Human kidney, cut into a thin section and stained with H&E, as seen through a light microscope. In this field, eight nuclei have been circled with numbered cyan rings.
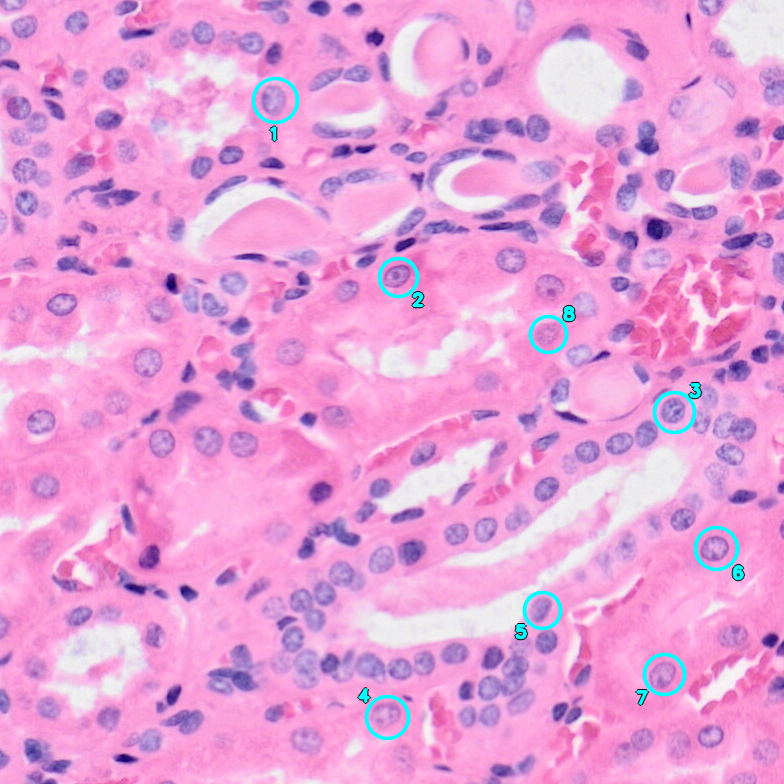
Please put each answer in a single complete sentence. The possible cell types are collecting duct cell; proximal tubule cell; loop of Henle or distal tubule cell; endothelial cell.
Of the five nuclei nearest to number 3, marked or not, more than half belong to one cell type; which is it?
Of the five nuclei nearest to number 3, most belong to collecting duct cells.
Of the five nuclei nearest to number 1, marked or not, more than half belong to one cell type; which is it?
Loop of Henle or distal tubule cells make up most of the five nuclei closest to number 1.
